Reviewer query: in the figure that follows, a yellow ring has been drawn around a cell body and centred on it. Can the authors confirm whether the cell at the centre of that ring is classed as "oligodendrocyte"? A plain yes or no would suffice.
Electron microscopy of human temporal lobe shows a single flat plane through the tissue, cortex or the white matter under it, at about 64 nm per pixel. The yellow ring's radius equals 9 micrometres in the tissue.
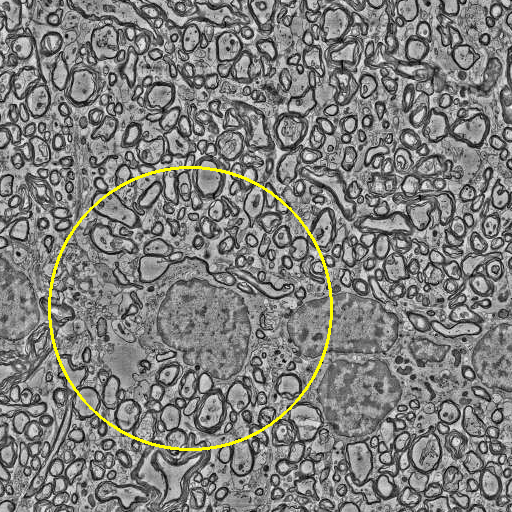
yes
